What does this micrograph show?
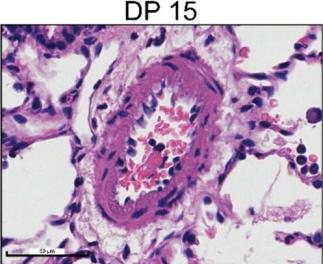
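The wall is a ring of pink smooth muscle with flattened, dark purple nuclei, wrapped by a thin pale outer layer. Thin alveolar walls with small dark nuclei surround the vessel, and a few rounded cells lie in the air spaces.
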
